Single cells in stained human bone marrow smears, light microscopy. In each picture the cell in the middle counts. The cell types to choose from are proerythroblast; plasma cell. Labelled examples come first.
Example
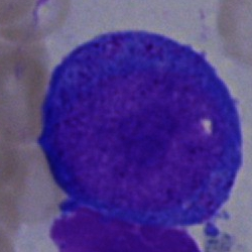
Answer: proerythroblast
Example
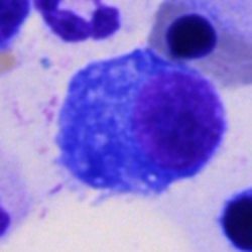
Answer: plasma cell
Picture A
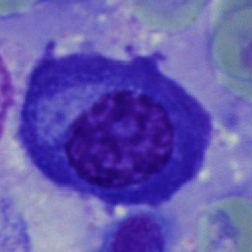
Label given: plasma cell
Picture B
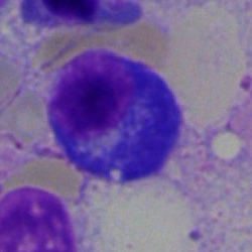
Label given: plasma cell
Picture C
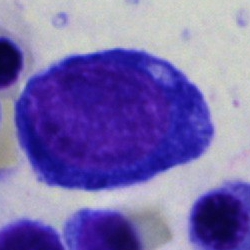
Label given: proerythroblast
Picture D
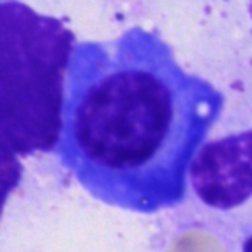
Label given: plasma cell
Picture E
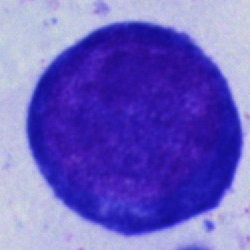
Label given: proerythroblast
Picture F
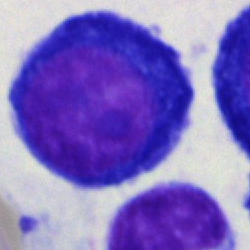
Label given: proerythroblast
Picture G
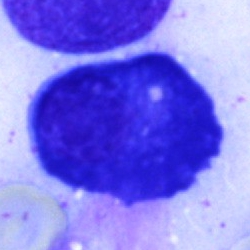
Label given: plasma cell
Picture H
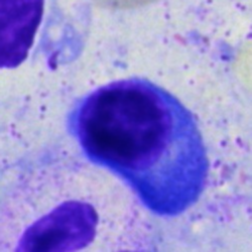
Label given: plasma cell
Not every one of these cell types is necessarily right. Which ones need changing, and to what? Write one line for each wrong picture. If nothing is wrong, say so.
All correct.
